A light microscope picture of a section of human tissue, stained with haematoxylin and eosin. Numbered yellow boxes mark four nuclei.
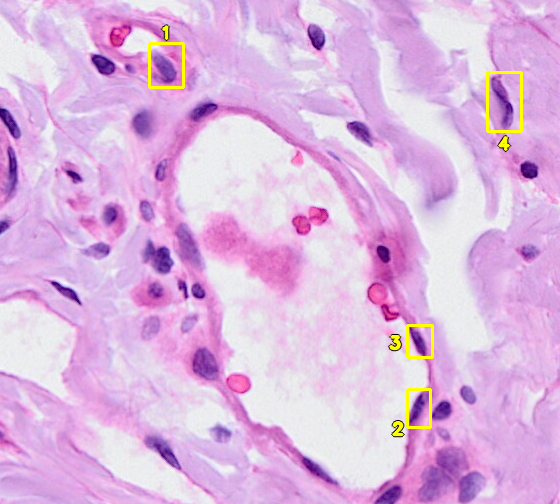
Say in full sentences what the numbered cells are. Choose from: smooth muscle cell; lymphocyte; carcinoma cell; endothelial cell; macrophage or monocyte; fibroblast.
Cells 1, 2 and 3 are endothelial cells. Cell 4 is a fibroblast.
